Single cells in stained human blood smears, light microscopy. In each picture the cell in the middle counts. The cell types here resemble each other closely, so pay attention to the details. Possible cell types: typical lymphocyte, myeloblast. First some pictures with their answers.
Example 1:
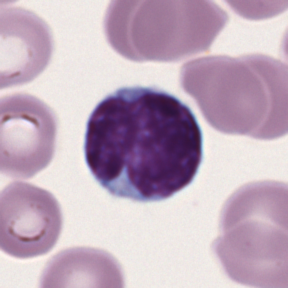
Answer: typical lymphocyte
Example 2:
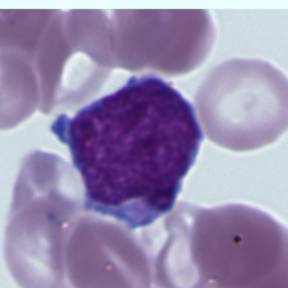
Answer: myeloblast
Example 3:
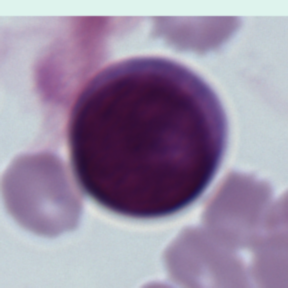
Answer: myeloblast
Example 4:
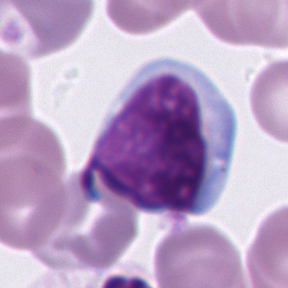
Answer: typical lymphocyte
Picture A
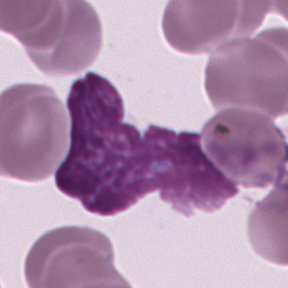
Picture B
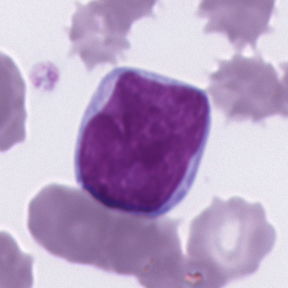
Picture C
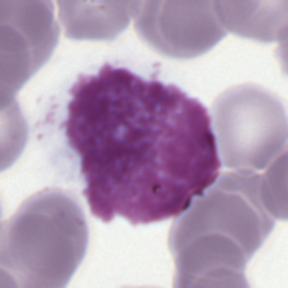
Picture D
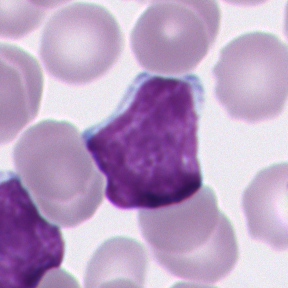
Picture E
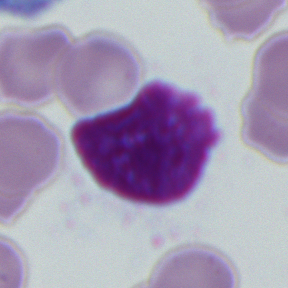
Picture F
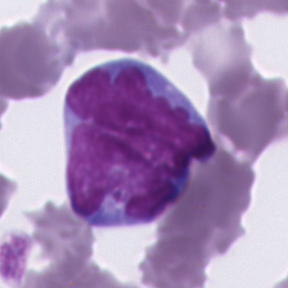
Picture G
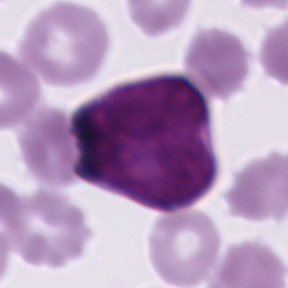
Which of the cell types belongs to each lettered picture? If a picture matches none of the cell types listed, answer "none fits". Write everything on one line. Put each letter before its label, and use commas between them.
A none fits, B myeloblast, C none fits, D typical lymphocyte, E none fits, F myeloblast, G myeloblast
